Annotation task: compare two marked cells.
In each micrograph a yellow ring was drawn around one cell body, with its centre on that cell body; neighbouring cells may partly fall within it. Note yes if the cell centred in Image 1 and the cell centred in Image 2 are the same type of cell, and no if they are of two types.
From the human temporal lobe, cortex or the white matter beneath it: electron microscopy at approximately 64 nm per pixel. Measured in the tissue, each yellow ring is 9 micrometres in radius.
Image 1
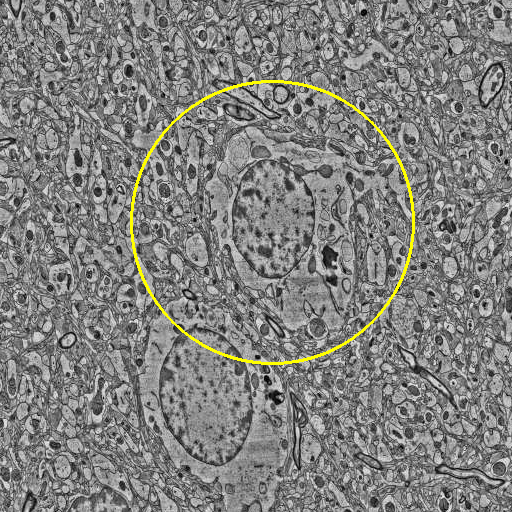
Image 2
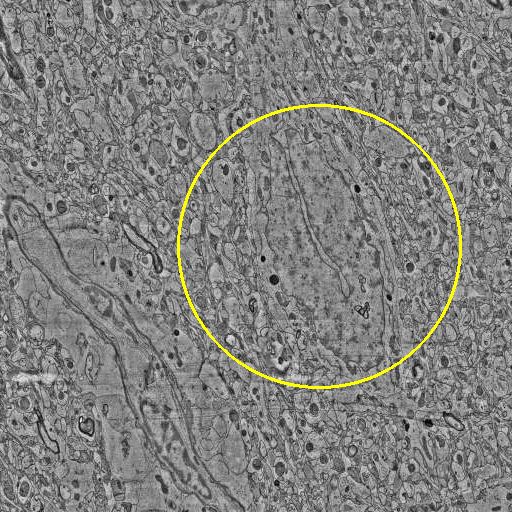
no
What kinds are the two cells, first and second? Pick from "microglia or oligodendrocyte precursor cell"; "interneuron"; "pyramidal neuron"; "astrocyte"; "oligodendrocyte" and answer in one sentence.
The second picture holds an interneuron in its ring, and the first holds an astrocyte.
